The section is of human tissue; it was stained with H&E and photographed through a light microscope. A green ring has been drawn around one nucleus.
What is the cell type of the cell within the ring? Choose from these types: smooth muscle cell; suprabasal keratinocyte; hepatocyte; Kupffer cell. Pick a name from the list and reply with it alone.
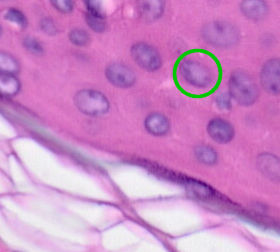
suprabasal keratinocyte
